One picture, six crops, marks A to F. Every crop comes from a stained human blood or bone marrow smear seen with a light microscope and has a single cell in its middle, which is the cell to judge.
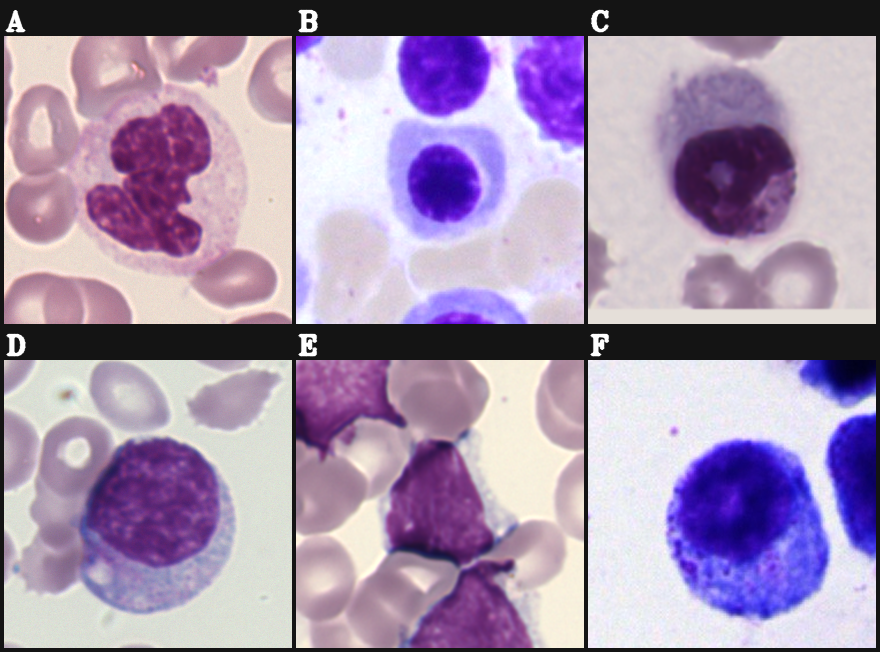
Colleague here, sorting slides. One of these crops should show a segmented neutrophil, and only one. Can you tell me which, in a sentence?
Crop A is the crop containing a segmented neutrophil.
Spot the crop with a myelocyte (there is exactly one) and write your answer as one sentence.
Crop D is the crop containing a myelocyte.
